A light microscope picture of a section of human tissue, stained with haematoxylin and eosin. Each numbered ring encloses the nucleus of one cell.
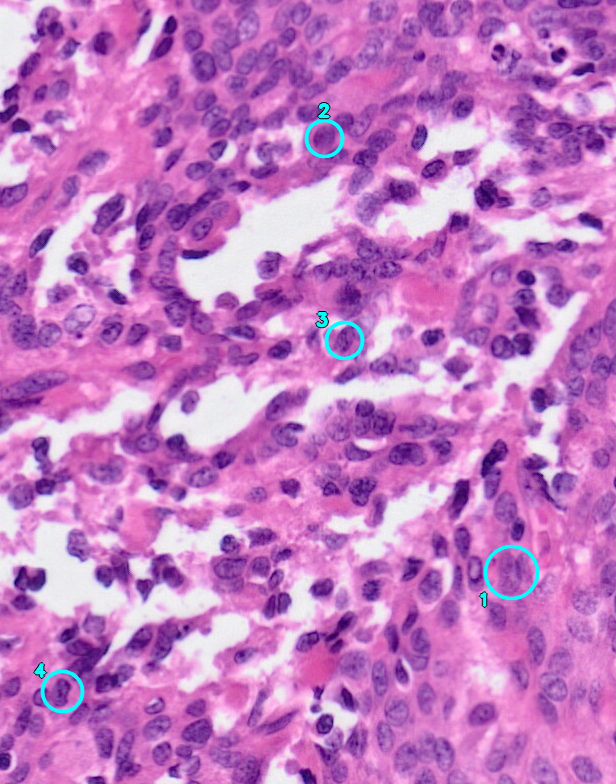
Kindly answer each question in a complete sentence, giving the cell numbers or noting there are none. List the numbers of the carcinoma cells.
The numbers 1, 2 and 3 in this section indicate carcinoma cells.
